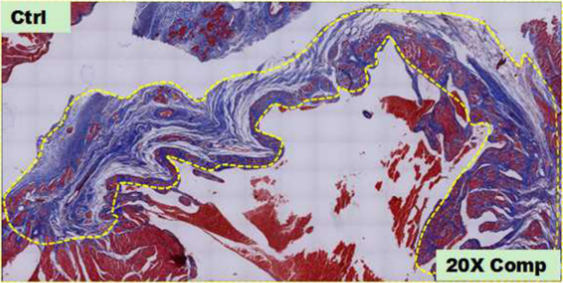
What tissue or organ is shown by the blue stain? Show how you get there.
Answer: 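Fibrous scar. Blue-stained streaky, layered material fills much of the outlined wall. Red-stained muscle lies outside the blue areas.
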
